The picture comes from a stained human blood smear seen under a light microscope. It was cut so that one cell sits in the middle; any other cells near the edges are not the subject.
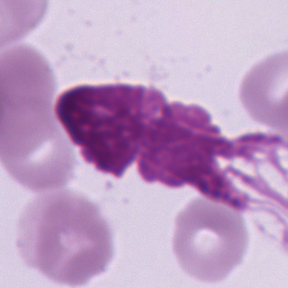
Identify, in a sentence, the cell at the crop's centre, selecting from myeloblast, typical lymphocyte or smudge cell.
The central cell in this smear crop is a smudge cell.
